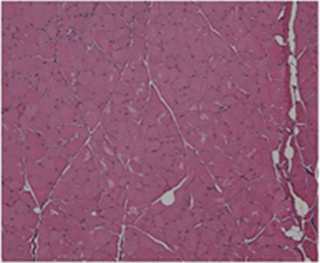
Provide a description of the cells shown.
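A cross-section of skeletal muscle made of closely packed, polygonal, pink myofibers of fairly even size. Small dark purple nuclei lie mostly at the edges of the fibers. Thin white lines mark the spaces between the fibers, and a few small round white gaps appear in the tissue. Along the right side, a band of connective tissue with white clefts runs from top to bottom at the muscle's edge. Fat is nearly absent, and the fibers form a continuous, regular mosaic across the field.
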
